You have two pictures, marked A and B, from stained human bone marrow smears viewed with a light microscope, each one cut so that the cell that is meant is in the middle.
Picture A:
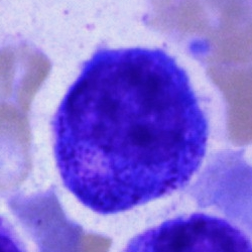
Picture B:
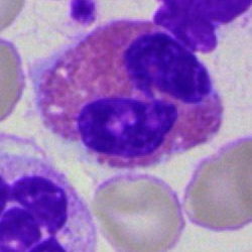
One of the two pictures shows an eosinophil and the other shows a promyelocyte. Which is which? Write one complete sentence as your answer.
Picture A shows a promyelocyte and picture B shows an eosinophil.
